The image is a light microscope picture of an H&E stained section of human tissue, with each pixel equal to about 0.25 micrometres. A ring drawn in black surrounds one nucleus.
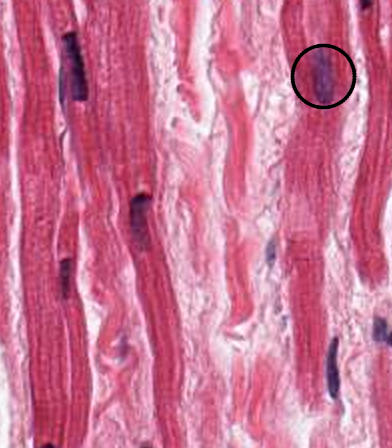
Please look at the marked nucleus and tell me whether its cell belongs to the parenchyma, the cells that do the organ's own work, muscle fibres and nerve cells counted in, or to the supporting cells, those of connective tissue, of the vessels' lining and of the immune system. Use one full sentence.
In this section the marked nucleus belongs to a parenchymal cell, namely a cardiomyocyte.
